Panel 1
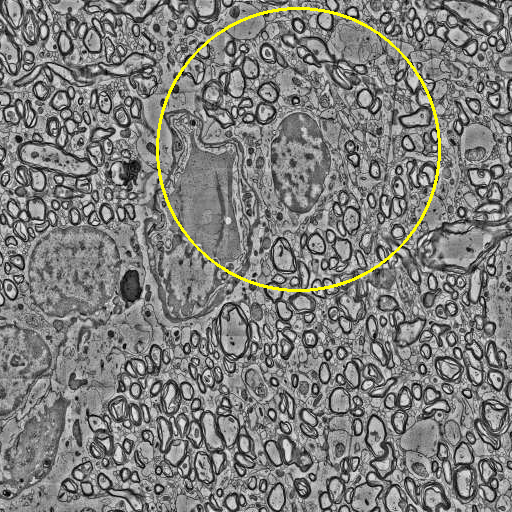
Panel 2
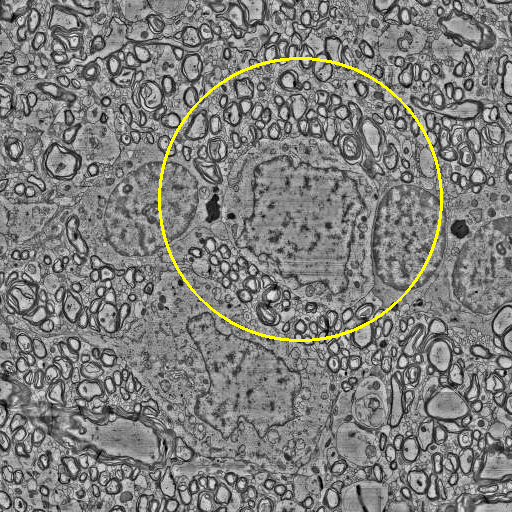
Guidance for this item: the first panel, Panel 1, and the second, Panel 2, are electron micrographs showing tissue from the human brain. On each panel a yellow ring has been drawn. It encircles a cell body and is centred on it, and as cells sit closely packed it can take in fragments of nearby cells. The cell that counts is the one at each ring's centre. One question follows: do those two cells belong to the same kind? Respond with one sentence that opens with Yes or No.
No, the cells at the ring centres in Panel 1 and Panel 2 are of two kinds.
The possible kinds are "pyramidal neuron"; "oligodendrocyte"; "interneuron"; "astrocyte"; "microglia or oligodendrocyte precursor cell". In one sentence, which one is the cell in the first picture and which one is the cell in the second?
The cell ringed in the second picture is an interneuron, whereas the one ringed in the first is a microglial cell or oligodendrocyte precursor cell.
